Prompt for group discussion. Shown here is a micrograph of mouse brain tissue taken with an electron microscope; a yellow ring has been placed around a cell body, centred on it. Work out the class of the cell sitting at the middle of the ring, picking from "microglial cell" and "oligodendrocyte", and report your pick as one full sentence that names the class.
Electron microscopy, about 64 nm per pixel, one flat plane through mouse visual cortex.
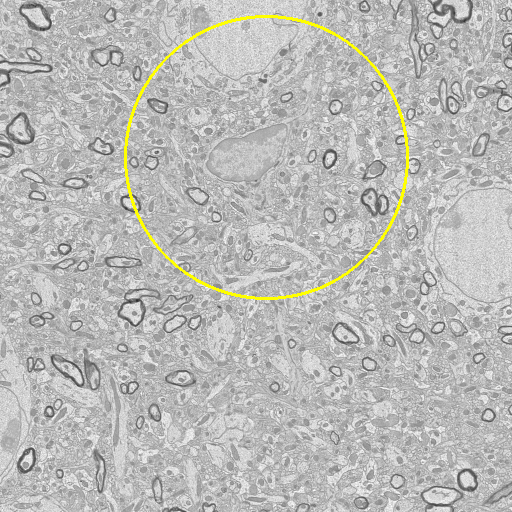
The cell sitting at the middle of the yellow ring is a microglial cell.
